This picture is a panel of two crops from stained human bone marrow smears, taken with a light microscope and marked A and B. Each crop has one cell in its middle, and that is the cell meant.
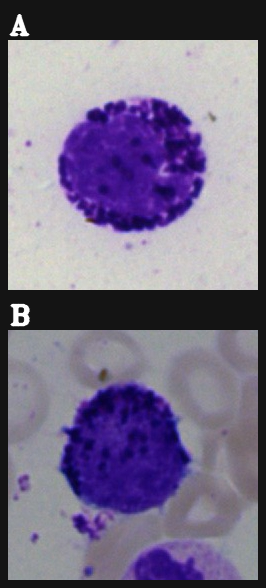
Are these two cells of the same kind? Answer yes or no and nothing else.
yes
